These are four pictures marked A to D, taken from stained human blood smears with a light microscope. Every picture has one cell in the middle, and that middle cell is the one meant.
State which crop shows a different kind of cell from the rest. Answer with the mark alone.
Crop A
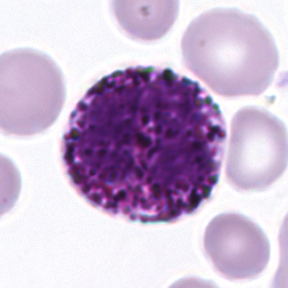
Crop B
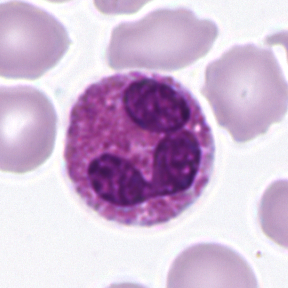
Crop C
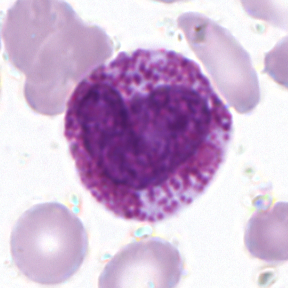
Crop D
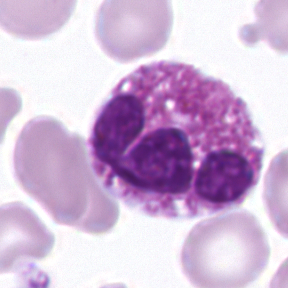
A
